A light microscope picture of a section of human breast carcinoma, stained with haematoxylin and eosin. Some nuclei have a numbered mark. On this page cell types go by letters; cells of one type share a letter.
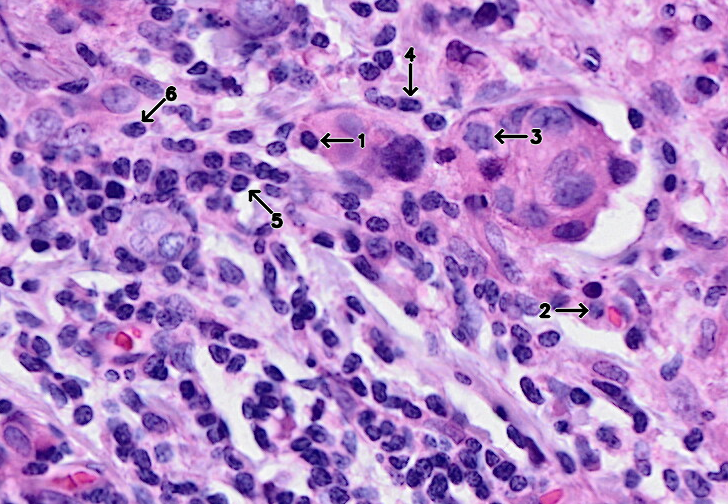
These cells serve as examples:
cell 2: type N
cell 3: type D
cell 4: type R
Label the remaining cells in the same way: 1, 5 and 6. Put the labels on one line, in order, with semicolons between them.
type R; type R; type R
